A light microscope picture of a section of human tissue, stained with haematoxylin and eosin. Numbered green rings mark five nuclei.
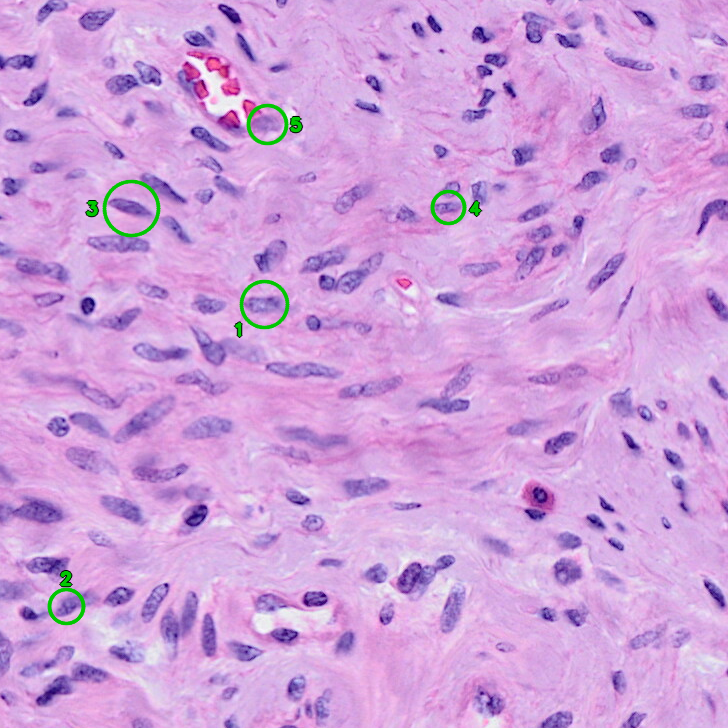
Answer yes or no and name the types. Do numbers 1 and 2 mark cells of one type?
No, cell 1 is a smooth muscle cell, whereas cell 2, for its part, is a fibroblast.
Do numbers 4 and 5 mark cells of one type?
No, cell 4 is a smooth muscle cell, but cell 5 is an endothelial cell.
